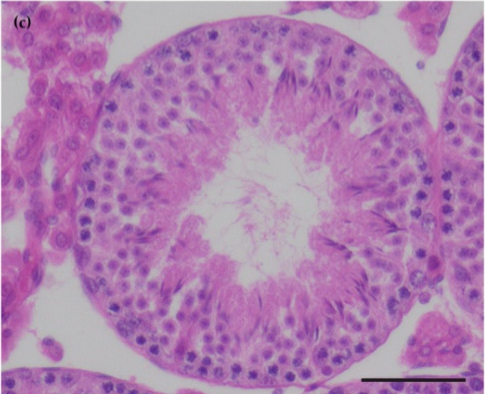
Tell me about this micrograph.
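A round seminiferous tubule is cut across, its germinal epithelium arranged in concentric layers of germ cells around a central lumen, showing ongoing spermatogenesis. Near the lumen, bundles of dark elongated heads radiate inward within pink-staining cytoplasm, and loose fibrillar material fills the lumen. Outside the tubule, interstitial spaces contain loosely arranged pink cells.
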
